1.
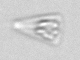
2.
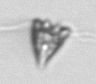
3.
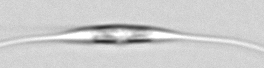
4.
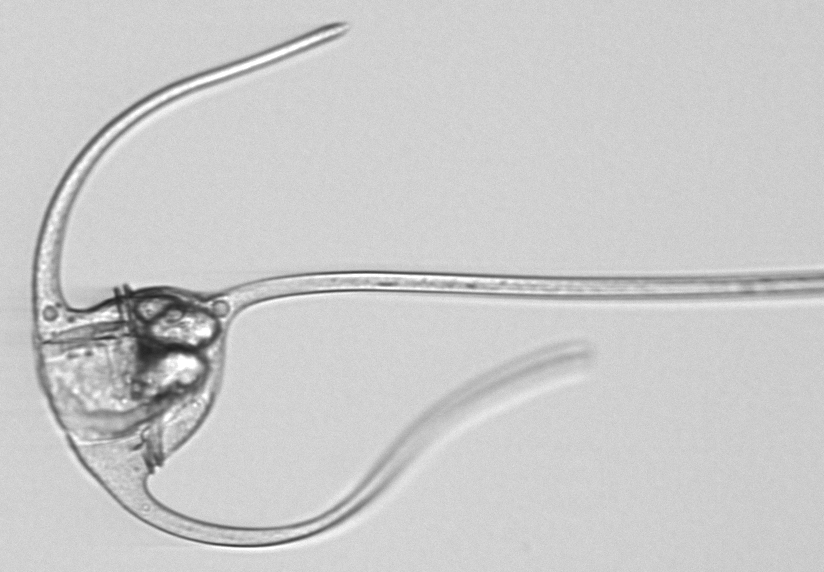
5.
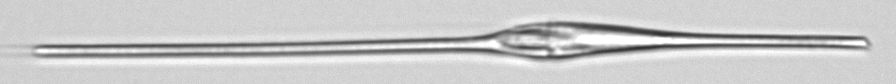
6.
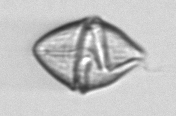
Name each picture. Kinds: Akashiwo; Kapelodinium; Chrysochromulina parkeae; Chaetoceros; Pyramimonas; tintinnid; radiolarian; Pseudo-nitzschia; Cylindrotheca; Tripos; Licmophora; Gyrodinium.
Picture 1: Licmophora
Picture 2: Pyramimonas
Picture 3: Cylindrotheca
Picture 4: Tripos
Picture 5: Tripos
Picture 6: Gyrodinium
